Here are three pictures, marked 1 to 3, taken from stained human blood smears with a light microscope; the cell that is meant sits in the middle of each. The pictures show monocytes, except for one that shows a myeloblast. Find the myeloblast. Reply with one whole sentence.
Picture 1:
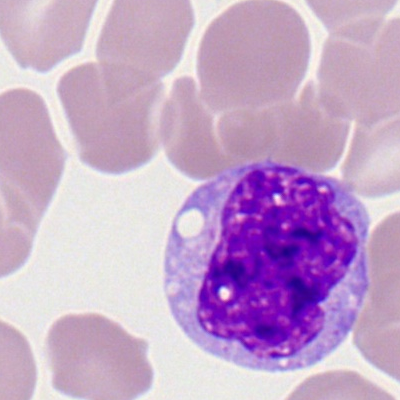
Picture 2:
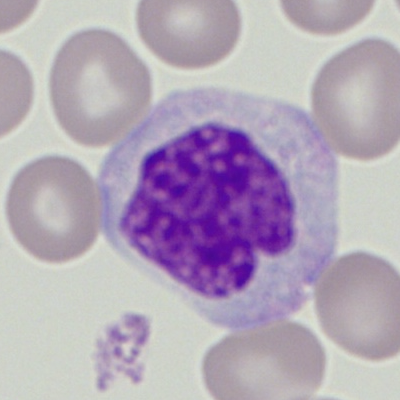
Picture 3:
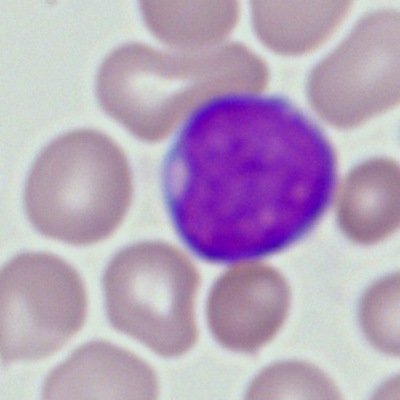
Picture 3 is the one that shows the myeloblast.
